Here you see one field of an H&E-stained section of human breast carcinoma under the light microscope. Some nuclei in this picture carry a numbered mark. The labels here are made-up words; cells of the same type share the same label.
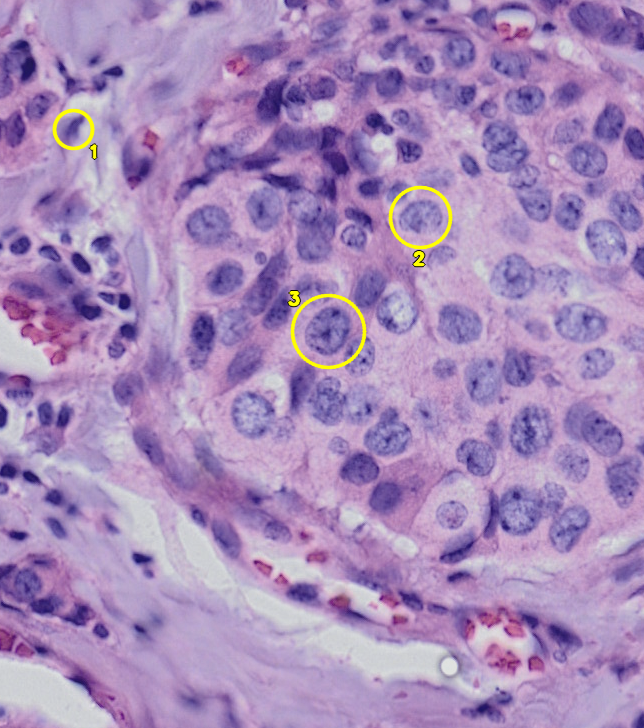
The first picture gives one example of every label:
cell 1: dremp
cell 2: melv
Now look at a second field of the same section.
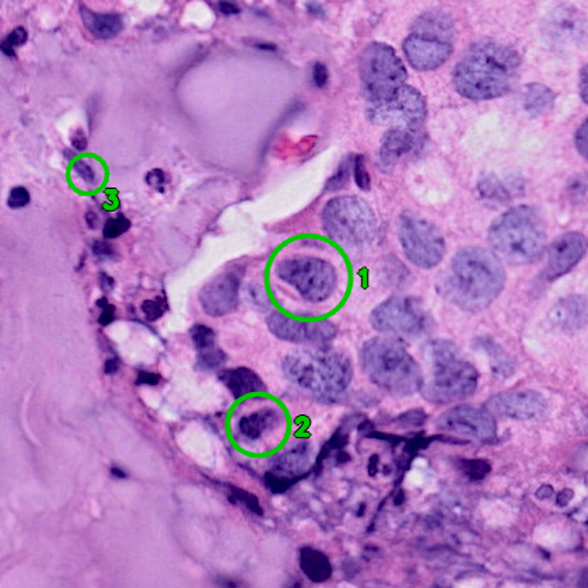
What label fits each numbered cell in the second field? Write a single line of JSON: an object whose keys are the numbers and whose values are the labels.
{"1": "melv", "2": "melv", "3": "dremp"}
